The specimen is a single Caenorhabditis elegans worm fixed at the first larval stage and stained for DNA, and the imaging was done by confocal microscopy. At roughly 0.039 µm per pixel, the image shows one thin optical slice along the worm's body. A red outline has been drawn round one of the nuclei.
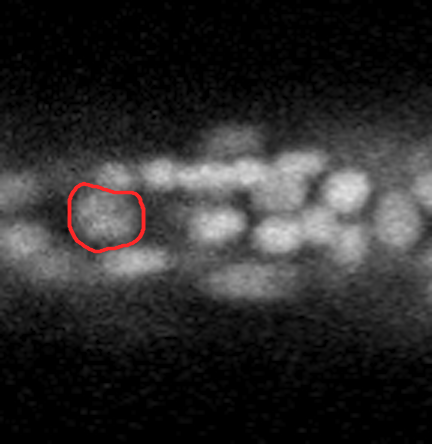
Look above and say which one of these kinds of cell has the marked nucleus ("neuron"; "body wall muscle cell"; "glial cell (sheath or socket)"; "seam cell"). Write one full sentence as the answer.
The marked nucleus is that of a seam cell.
